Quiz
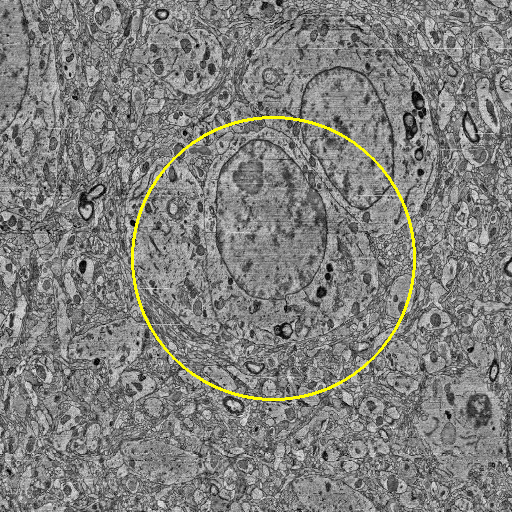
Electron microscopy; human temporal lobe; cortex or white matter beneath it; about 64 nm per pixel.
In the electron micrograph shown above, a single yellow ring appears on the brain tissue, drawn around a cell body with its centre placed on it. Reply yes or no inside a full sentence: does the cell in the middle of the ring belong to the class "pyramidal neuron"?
Yes, the cell at the centre of the ring in the picture belongs to that class.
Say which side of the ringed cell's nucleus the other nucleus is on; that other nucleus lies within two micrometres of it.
That other nucleus sits to the upper right of it.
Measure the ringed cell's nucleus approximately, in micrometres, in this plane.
The ringed cell's nucleus is about 11 micrometres long and 7 micrometres wide in this plane.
